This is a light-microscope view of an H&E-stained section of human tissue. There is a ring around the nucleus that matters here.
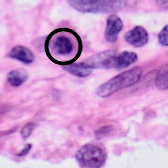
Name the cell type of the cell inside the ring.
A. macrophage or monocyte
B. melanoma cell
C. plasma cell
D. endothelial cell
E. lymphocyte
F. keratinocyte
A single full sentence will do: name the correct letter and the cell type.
Option C matches the cell inside the ring, which is a plasma cell.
